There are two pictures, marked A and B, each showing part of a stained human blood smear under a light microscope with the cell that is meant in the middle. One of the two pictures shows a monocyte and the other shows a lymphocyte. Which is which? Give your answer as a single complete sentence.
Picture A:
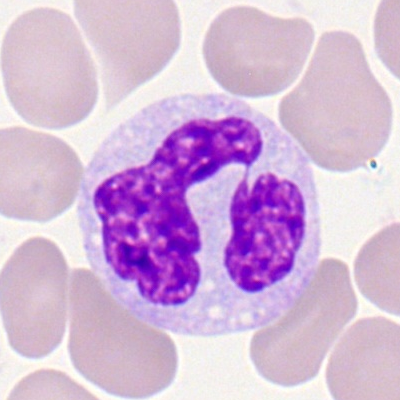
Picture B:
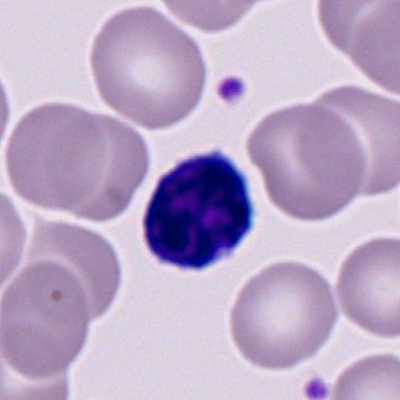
The cell in picture A is a monocyte, and the one in picture B is a lymphocyte.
